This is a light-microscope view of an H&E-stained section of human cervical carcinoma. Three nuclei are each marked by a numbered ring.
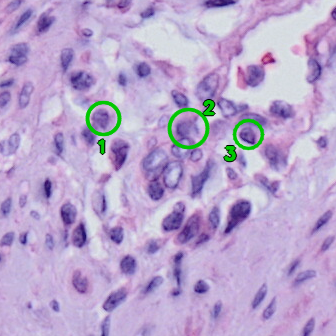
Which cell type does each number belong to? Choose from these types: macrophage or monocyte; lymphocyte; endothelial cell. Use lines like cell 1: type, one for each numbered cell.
cell 1: macrophage or monocyte
cell 2: endothelial cell
cell 3: lymphocyte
